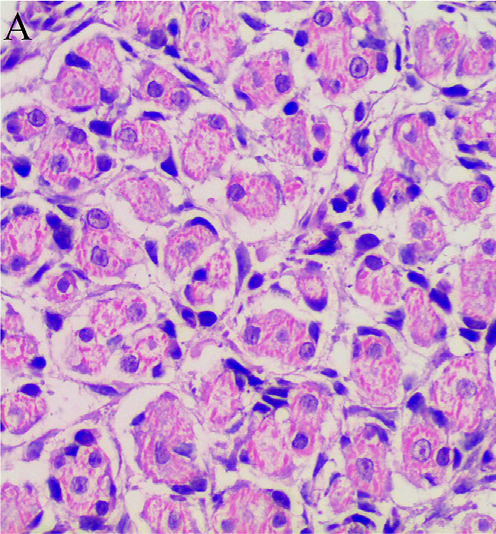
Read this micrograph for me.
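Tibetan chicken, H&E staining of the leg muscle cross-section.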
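The fibers are rounded, with pale pink cytoplasm that has a fine, streaked texture. Many fibers hold a round, pale nucleus with a visible nucleolus placed near their centre. Numerous elongated, dark purple nuclei lie in the tissue between the fibers, which are set apart by clear spaces.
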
